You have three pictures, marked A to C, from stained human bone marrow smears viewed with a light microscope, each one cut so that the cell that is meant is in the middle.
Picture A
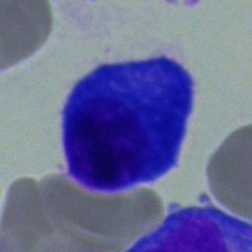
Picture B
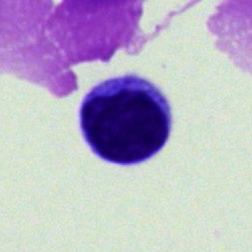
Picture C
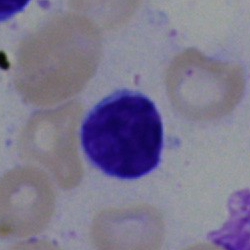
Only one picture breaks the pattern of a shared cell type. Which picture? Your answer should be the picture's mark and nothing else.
A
